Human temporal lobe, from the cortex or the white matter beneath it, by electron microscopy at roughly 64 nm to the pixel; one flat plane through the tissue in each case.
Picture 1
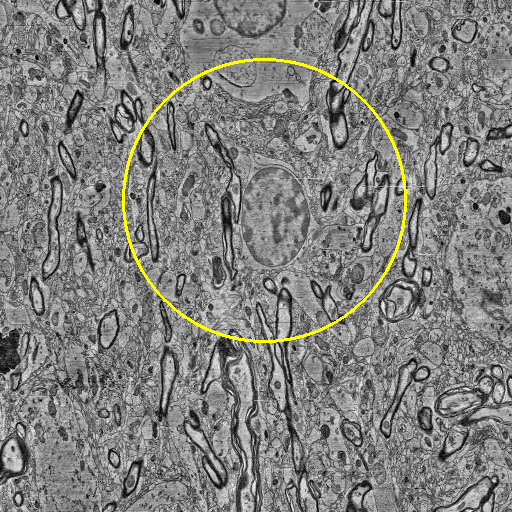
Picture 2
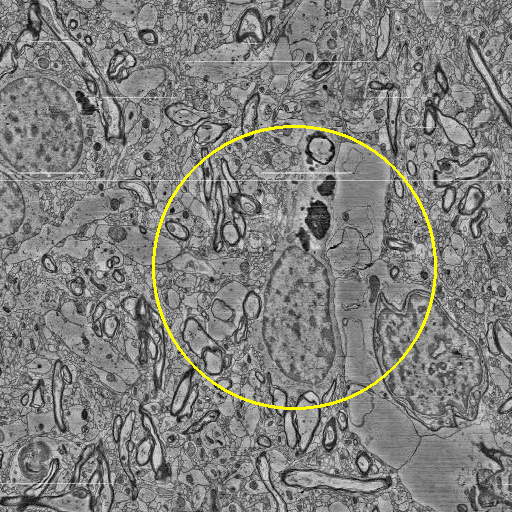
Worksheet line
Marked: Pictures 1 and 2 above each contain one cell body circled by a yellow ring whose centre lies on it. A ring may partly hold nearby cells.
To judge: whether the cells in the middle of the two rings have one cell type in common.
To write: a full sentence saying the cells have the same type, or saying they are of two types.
The cells in the middle of the rings in Picture 1 and Picture 2 are of two types.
